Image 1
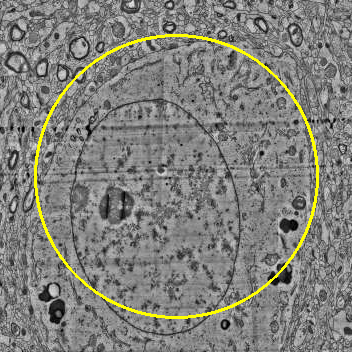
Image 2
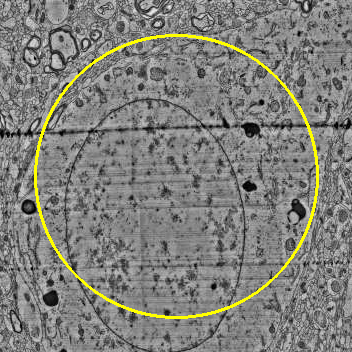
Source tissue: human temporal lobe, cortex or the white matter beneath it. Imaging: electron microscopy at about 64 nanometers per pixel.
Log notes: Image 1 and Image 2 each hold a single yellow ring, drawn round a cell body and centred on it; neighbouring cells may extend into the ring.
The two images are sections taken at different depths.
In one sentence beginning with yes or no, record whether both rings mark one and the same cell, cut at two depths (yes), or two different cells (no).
Yes, a single cell is the subject of both yellow rings.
